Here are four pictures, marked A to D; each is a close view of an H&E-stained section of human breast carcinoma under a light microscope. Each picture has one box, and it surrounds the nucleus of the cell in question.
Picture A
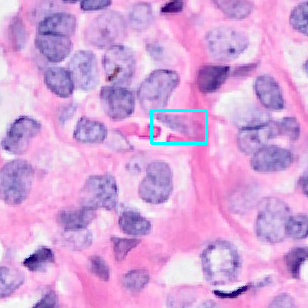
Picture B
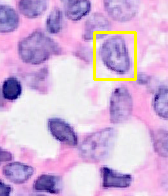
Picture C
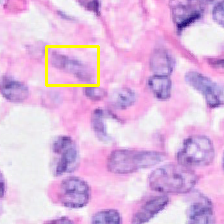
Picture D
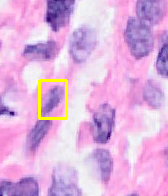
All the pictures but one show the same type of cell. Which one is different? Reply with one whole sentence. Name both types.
Picture B differs, because its cell is a carcinoma cell and the rest are endothelial cells.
